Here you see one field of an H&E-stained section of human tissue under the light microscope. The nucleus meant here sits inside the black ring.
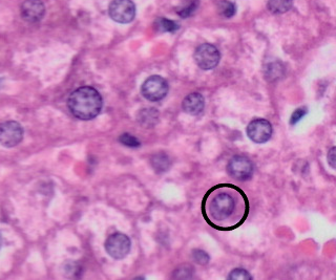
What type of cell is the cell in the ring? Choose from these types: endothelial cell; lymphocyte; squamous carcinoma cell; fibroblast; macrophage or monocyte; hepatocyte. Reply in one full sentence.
Recorded by type, the cell in the ring is a hepatocyte.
